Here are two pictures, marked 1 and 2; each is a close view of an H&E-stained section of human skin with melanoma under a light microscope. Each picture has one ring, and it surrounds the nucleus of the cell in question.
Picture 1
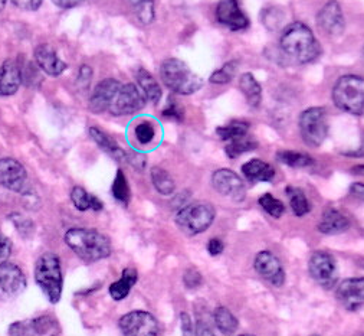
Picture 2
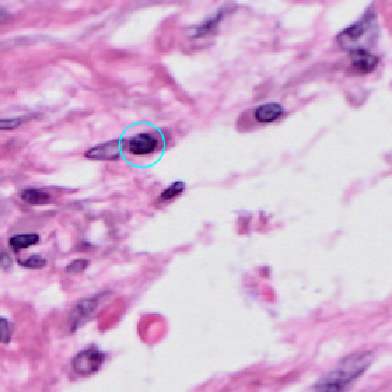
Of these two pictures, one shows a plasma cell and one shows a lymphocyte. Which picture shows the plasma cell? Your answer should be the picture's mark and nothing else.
2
